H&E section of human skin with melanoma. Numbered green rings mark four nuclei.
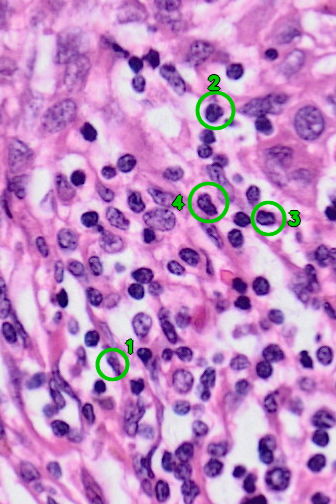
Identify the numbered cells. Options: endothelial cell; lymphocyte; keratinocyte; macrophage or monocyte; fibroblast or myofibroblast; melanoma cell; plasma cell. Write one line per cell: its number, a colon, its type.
1: fibroblast or myofibroblast
2: lymphocyte
3: lymphocyte
4: lymphocyte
